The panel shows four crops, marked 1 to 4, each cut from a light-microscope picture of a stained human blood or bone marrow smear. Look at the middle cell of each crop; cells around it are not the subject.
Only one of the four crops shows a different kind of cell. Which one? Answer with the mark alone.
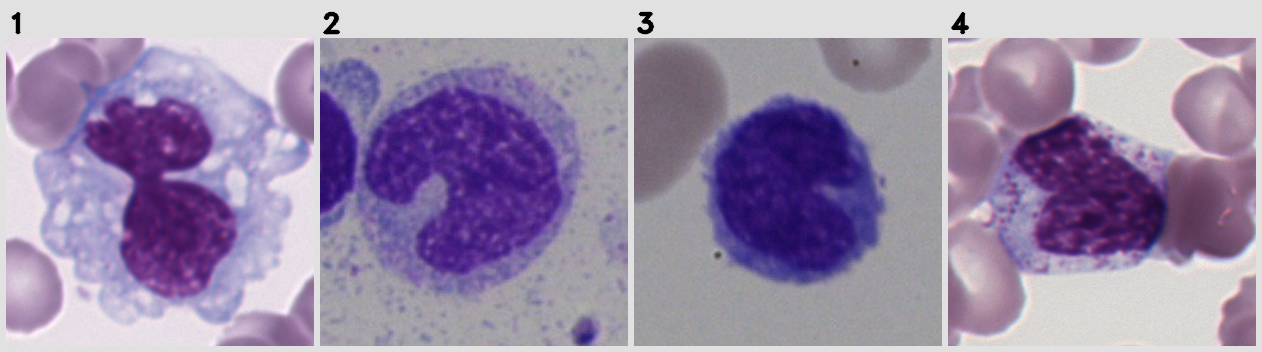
4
